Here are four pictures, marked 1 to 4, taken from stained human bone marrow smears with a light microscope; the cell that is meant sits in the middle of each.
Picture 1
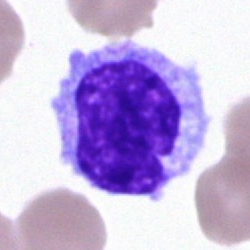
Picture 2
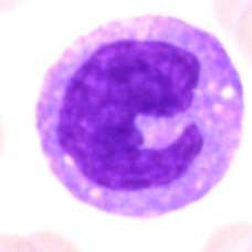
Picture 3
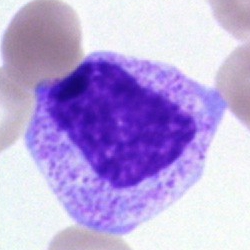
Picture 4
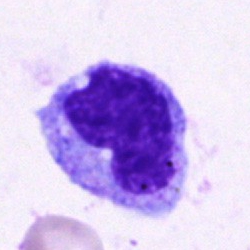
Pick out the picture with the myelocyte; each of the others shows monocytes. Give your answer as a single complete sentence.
The cell in picture 3 is the myelocyte.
